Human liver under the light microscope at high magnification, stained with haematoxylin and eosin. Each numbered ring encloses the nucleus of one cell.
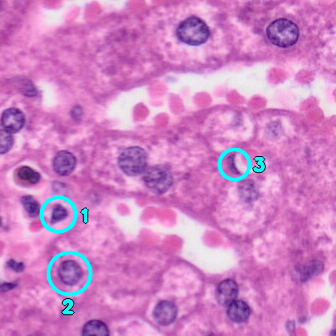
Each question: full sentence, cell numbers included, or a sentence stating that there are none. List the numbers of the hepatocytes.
Cell 2, and no other numbered cell, is a hepatocyte.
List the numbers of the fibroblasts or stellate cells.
In this field, none of the numbered cells are fibroblasts or stellate cells.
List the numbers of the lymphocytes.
Being a lymphocyte is true of cell 1 and of no other numbered cell.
